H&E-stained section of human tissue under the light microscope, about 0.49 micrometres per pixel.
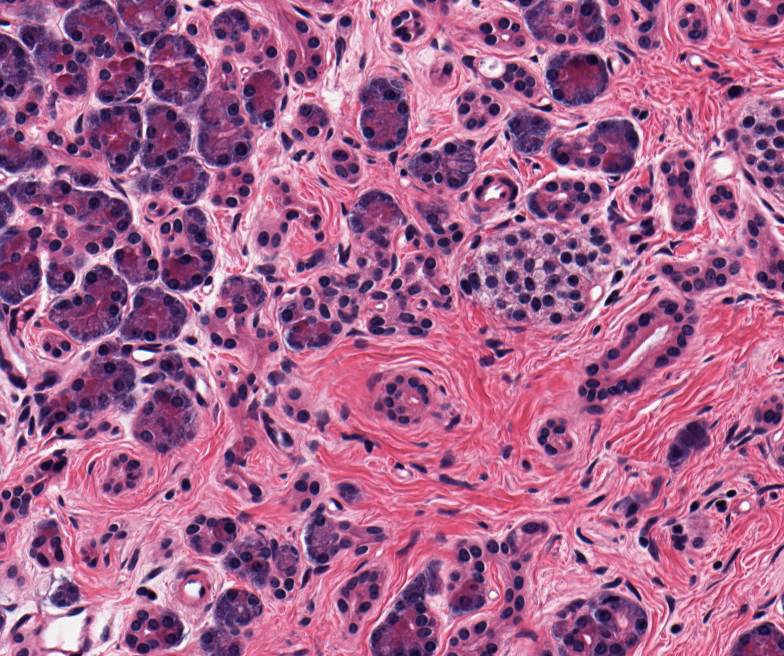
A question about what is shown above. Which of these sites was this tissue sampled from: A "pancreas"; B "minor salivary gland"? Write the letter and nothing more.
A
